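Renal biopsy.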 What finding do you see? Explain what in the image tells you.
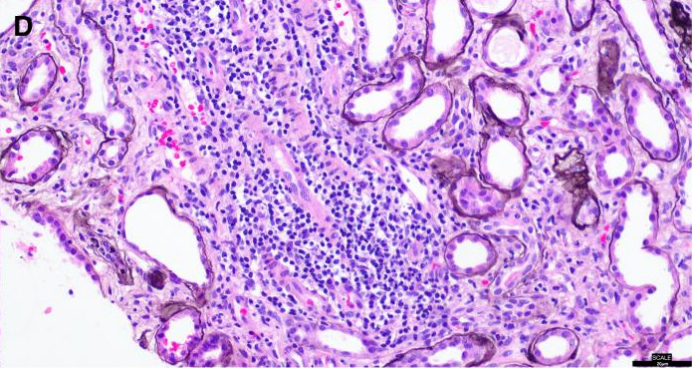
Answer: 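Dense interstitial inflammation. A dense sheet of small round dark nuclei fills the space between tubules. Tubules with black-outlined basement membranes are pushed apart by the infiltrate.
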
